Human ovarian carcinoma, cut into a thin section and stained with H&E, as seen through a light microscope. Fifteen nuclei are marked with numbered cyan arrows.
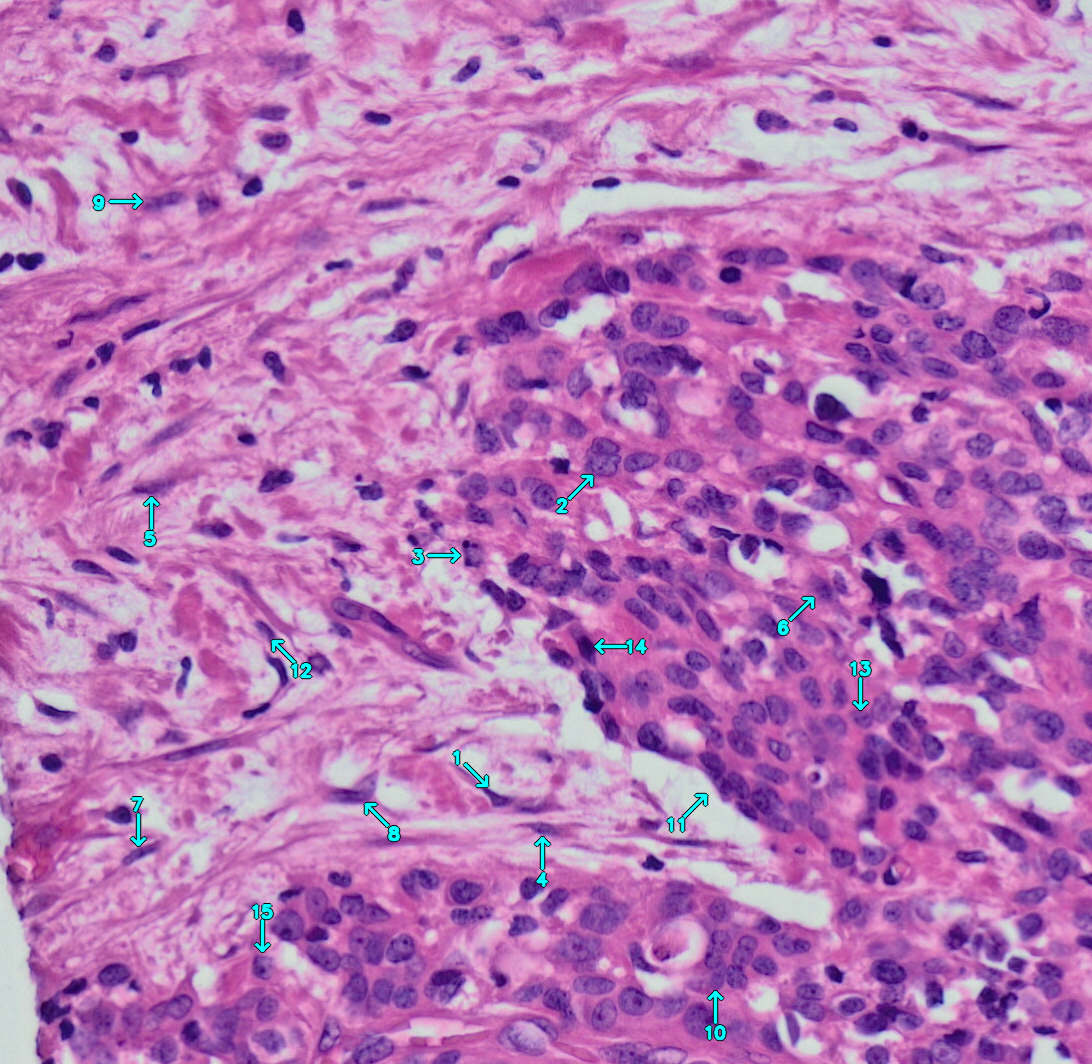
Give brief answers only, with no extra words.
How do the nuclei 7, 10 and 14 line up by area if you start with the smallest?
10, 7, 14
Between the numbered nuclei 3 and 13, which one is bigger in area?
3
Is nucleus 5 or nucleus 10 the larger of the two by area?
5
